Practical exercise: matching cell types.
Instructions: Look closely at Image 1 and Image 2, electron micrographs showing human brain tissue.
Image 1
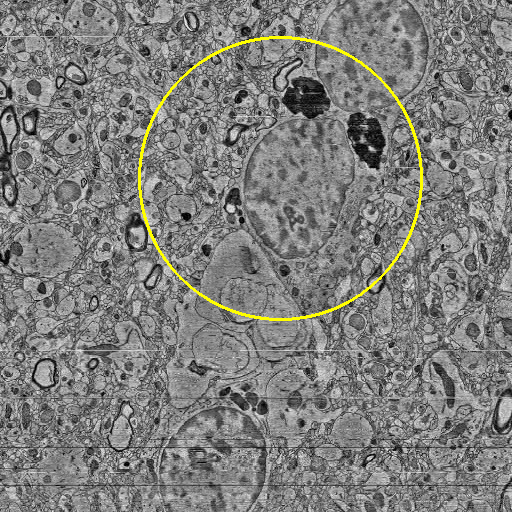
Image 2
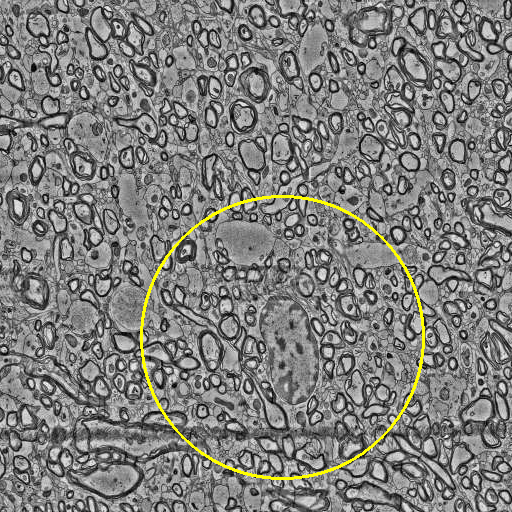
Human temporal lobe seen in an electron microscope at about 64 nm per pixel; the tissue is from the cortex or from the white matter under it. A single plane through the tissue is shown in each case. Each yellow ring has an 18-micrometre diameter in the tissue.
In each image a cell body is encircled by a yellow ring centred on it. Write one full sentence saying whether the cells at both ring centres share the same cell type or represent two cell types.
Across Image 1 and Image 2, the cells at the ring centres represent two cell types.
